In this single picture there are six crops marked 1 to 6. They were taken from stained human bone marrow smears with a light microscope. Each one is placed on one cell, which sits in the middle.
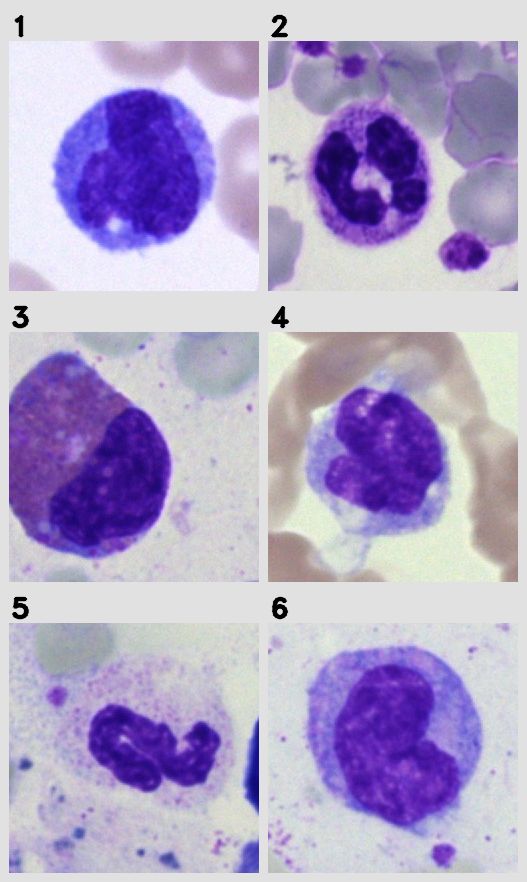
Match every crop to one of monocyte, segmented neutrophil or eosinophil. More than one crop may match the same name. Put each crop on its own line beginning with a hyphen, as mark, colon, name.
- 1: monocyte
- 2: segmented neutrophil
- 3: eosinophil
- 4: monocyte
- 5: segmented neutrophil
- 6: monocyte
